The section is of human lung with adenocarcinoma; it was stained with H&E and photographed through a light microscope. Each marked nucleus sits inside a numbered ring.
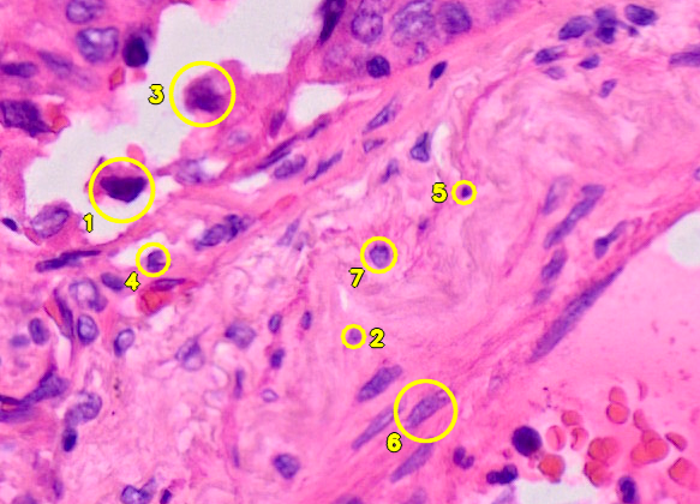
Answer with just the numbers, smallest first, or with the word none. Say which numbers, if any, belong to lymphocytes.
4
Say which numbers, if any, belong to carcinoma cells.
1, 3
